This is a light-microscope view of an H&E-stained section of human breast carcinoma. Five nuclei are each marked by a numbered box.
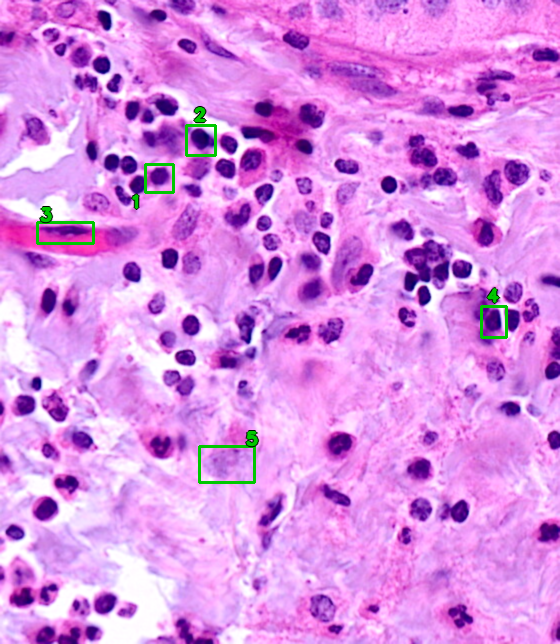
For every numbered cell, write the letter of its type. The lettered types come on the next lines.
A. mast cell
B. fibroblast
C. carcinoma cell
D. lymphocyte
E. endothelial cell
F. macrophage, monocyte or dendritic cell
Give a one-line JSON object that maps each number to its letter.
{"1": "D", "2": "D", "3": "E", "4": "D", "5": "B"}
